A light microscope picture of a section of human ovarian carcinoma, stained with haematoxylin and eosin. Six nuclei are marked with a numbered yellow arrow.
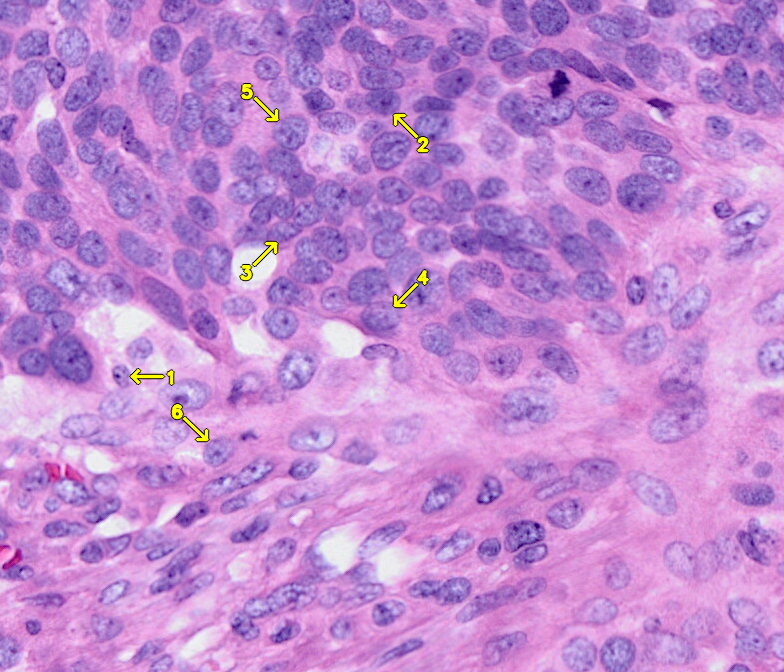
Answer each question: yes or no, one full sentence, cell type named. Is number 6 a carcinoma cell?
No, rather than a carcinoma cell, cell number 6 is a fibroblast.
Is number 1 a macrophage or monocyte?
Yes, the cell marked by the number 1 is a macrophage or monocyte.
